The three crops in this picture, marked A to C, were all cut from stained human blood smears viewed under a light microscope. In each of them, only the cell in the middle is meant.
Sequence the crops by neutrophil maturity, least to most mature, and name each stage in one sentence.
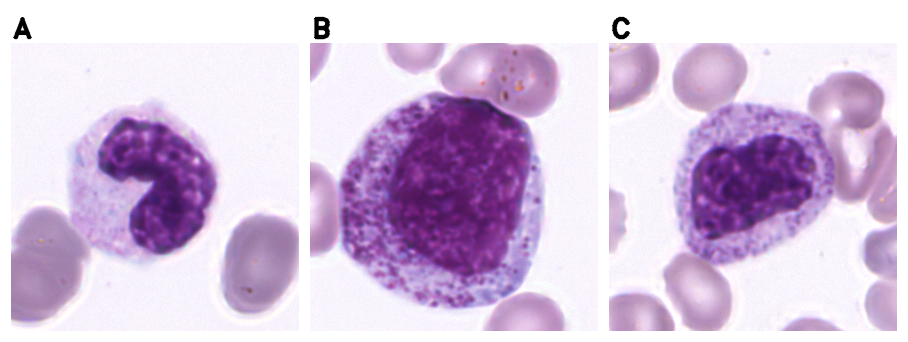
From youngest to most mature, the cells go crop B (a promyelocyte), crop C (a metamyelocyte) and crop A (a band neutrophil).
